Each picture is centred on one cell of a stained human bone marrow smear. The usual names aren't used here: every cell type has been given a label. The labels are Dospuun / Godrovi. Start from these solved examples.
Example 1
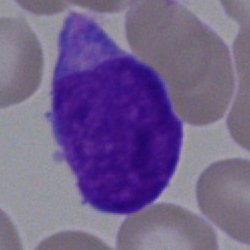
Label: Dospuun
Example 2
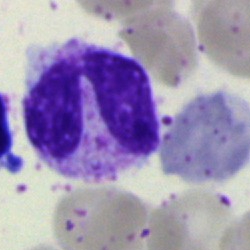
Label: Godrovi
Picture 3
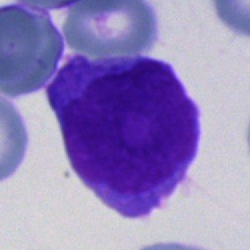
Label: Dospuun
